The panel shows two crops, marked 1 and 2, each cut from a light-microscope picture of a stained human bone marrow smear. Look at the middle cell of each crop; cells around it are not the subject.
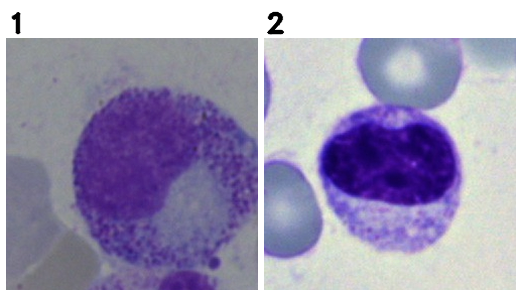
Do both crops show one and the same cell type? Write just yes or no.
no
